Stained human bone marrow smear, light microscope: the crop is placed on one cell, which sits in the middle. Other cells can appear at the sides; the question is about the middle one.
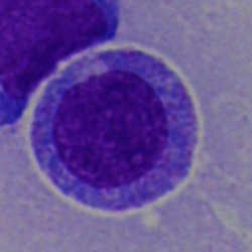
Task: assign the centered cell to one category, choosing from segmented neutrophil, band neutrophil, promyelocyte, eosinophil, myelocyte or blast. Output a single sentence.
The cell in the exact centre of the crop is a myelocyte.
